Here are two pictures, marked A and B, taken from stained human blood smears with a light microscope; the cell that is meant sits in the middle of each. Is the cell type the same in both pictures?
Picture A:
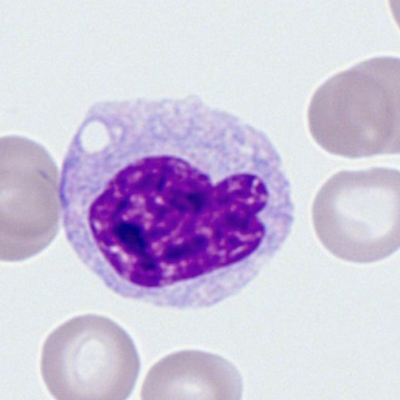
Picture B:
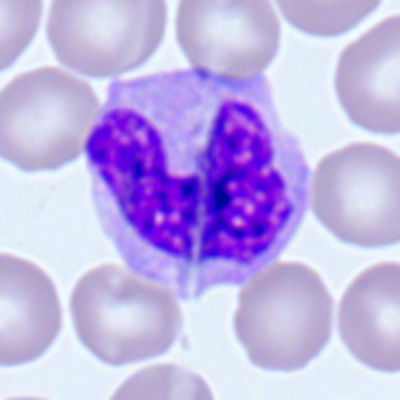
yes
